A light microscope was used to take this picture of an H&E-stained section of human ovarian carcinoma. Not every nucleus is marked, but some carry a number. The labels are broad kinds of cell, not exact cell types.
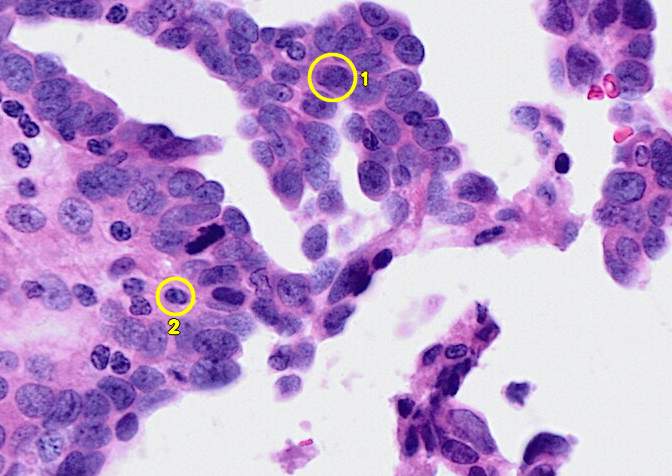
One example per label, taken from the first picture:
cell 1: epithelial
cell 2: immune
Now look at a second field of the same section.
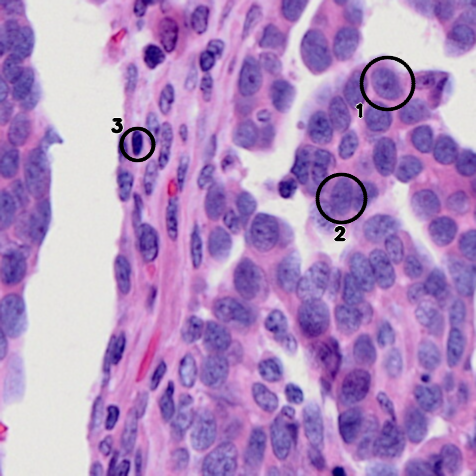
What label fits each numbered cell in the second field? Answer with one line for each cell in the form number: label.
1: epithelial
2: epithelial
3: immune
